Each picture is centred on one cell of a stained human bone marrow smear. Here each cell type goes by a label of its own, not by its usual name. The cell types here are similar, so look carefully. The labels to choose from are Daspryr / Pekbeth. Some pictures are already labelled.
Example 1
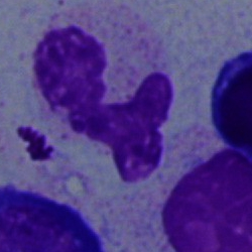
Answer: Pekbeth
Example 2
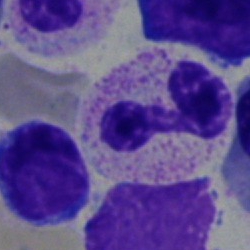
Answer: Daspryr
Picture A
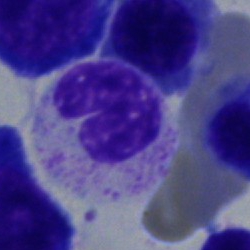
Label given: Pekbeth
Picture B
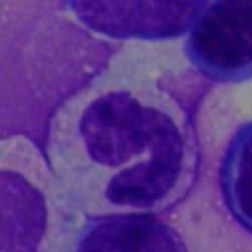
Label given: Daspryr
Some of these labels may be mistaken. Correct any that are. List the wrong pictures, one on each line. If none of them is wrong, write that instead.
None of the labels needs changing.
